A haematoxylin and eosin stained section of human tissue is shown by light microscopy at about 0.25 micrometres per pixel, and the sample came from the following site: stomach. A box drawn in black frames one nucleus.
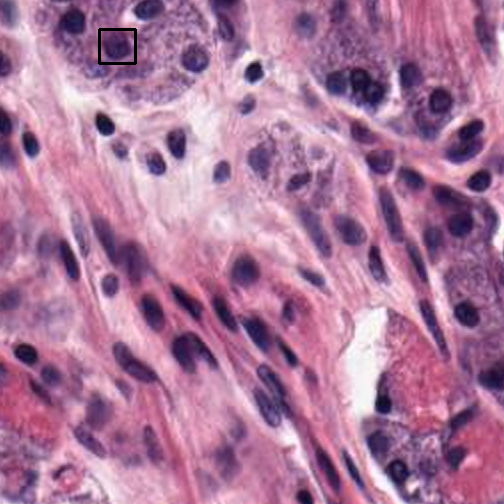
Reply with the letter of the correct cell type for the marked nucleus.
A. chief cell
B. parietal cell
A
